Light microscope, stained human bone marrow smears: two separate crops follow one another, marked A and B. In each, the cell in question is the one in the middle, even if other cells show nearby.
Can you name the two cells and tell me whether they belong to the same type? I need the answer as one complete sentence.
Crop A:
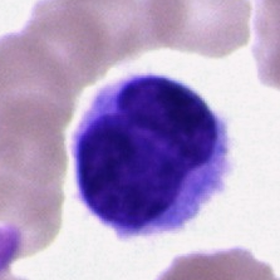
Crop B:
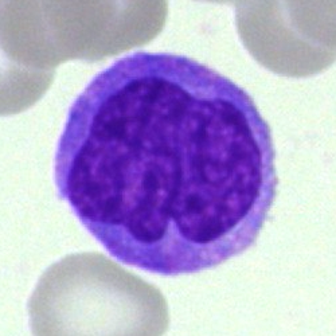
No, the cells are a hairy cell in crop A and a monocyte in crop B.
